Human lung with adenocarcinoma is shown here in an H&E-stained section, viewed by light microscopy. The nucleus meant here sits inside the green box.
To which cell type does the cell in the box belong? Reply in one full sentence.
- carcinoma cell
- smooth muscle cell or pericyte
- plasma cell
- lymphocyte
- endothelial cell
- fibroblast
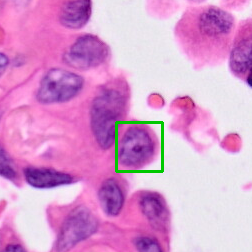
For the purposes of cell typing, the cell in the box is categorized as a carcinoma cell.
